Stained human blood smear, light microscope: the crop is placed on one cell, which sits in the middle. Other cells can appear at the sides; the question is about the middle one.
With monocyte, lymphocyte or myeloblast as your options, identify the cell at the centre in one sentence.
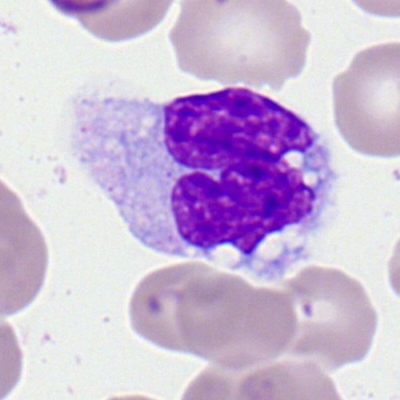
The cell at the heart of this crop is a monocyte.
